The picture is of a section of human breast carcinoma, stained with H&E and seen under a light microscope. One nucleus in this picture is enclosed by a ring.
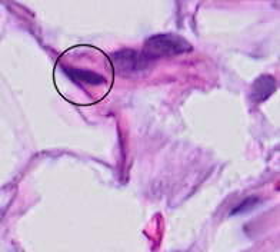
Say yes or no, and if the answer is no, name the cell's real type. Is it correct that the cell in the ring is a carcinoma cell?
No, it is an endothelial cell.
